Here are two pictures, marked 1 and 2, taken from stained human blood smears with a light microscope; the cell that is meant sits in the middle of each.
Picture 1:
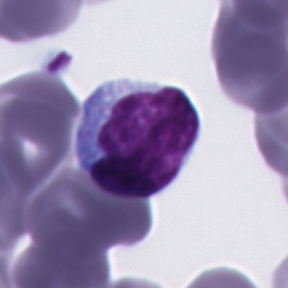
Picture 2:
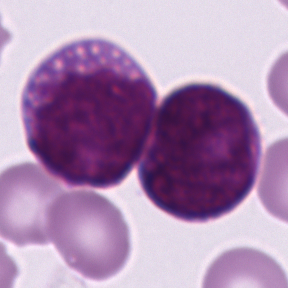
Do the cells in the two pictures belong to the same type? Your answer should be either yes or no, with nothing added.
no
